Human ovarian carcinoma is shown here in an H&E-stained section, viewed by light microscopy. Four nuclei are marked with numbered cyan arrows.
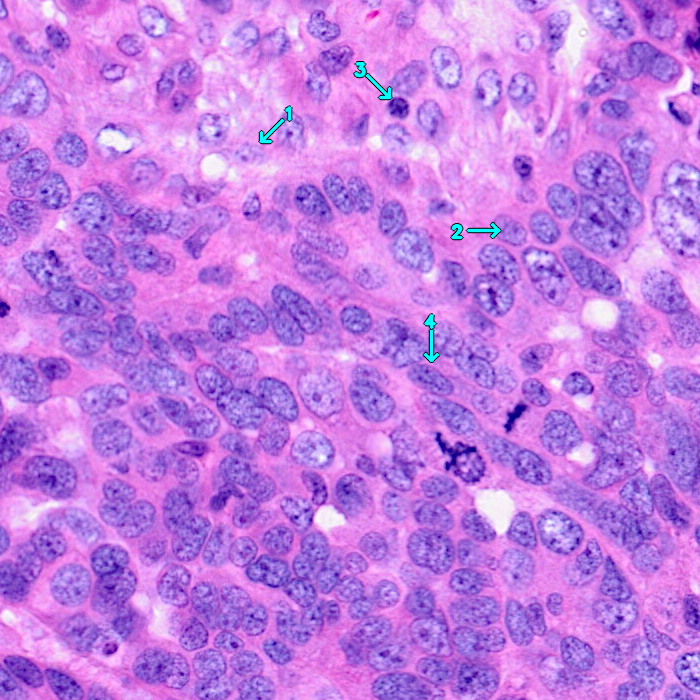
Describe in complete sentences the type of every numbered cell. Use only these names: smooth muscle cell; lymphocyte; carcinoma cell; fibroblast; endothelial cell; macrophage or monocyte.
Cell 1 is a fibroblast. Cells 2 and 4 are carcinoma cells. Cell 3 is a lymphocyte.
